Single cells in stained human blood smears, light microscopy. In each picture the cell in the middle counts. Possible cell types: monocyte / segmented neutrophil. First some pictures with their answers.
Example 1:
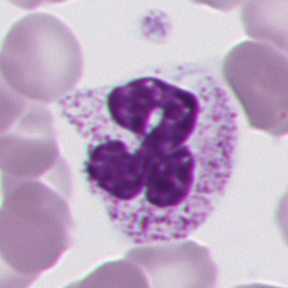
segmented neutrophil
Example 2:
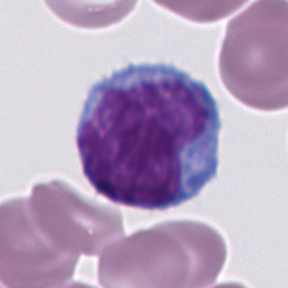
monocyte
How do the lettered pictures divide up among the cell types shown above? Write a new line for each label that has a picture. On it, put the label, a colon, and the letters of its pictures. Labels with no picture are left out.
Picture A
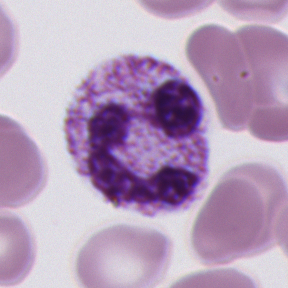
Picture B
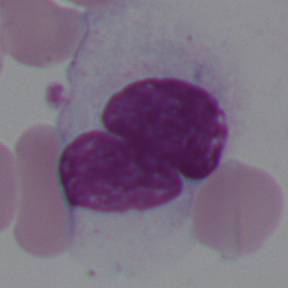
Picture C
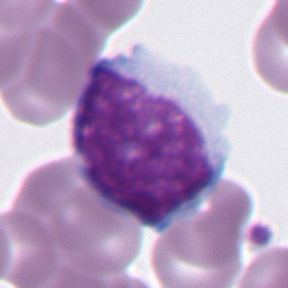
monocyte: B, C
segmented neutrophil: A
